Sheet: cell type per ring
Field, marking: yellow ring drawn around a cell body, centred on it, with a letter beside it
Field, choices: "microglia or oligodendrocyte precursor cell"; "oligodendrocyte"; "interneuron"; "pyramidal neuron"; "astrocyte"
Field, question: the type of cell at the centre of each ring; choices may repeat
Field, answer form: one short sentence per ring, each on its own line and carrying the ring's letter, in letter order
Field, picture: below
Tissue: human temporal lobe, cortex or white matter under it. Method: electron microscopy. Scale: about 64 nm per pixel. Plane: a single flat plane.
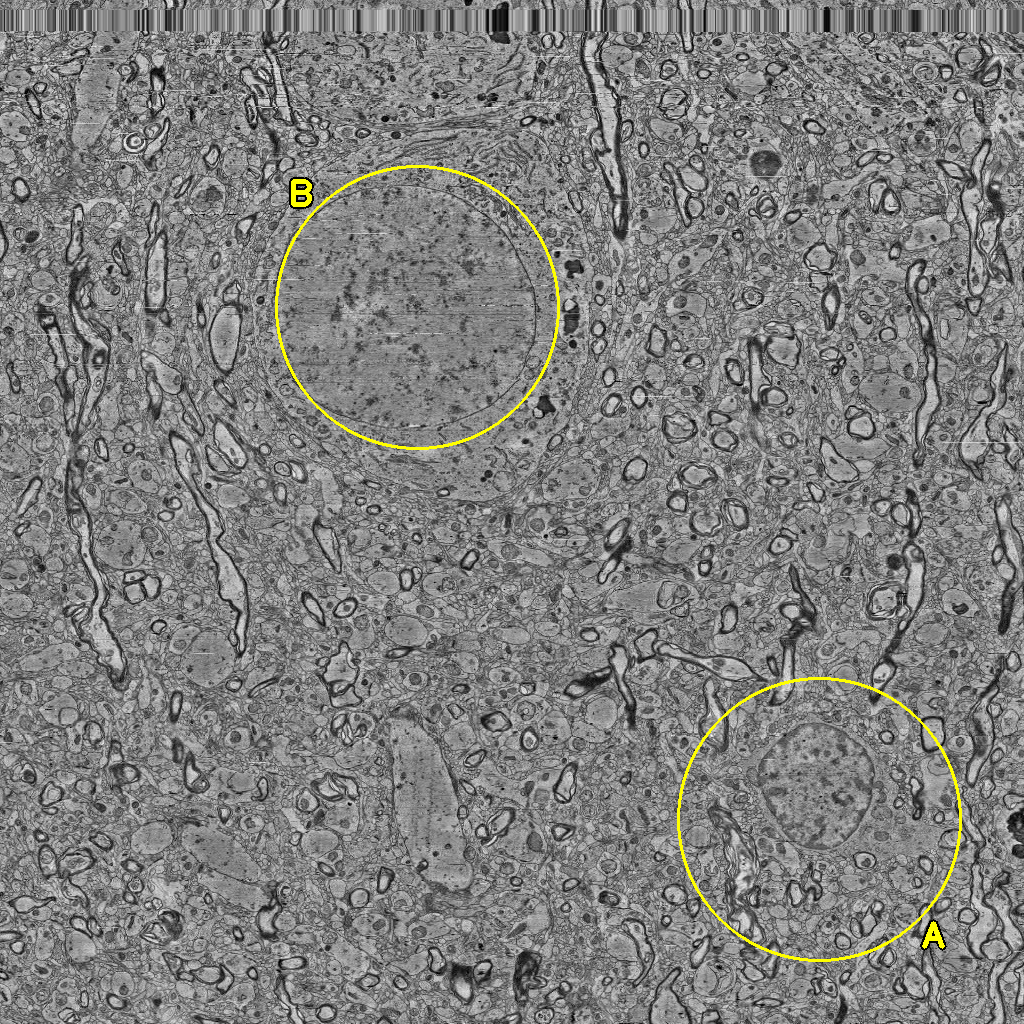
The cell body inside ring A, at its centre, is an oligodendrocyte.
The cell body inside ring B, at its centre, is a pyramidal neuron.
